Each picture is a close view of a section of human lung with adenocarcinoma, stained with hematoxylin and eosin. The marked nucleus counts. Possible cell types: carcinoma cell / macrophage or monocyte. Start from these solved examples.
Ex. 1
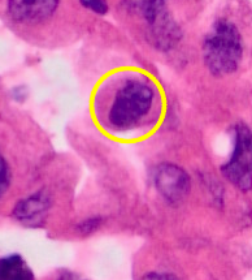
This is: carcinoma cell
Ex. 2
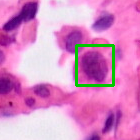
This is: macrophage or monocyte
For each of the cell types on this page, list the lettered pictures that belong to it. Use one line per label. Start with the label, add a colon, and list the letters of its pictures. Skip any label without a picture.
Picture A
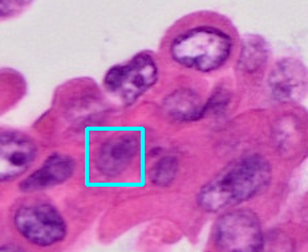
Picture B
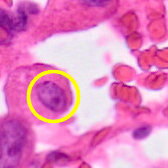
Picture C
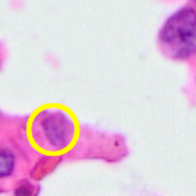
carcinoma cell: A
macrophage or monocyte: B, C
